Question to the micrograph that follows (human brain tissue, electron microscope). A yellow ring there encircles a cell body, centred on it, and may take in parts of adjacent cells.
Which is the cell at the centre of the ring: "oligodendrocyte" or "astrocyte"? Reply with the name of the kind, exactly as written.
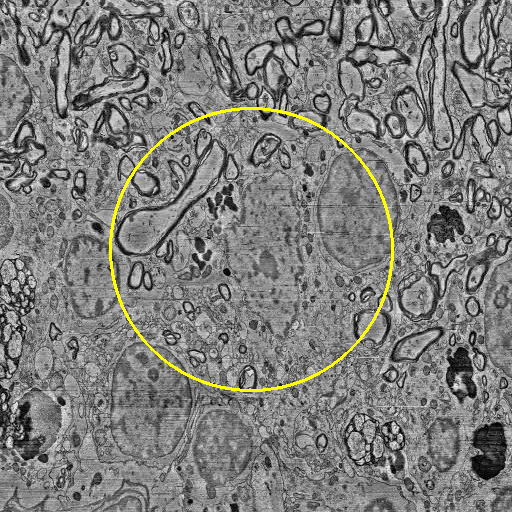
astrocyte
